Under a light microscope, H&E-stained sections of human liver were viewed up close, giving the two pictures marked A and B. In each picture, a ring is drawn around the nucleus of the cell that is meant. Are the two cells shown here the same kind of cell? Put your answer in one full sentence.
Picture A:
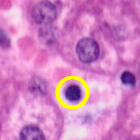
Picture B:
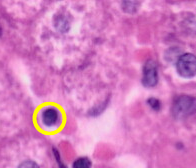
Yes, both are lymphocytes.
